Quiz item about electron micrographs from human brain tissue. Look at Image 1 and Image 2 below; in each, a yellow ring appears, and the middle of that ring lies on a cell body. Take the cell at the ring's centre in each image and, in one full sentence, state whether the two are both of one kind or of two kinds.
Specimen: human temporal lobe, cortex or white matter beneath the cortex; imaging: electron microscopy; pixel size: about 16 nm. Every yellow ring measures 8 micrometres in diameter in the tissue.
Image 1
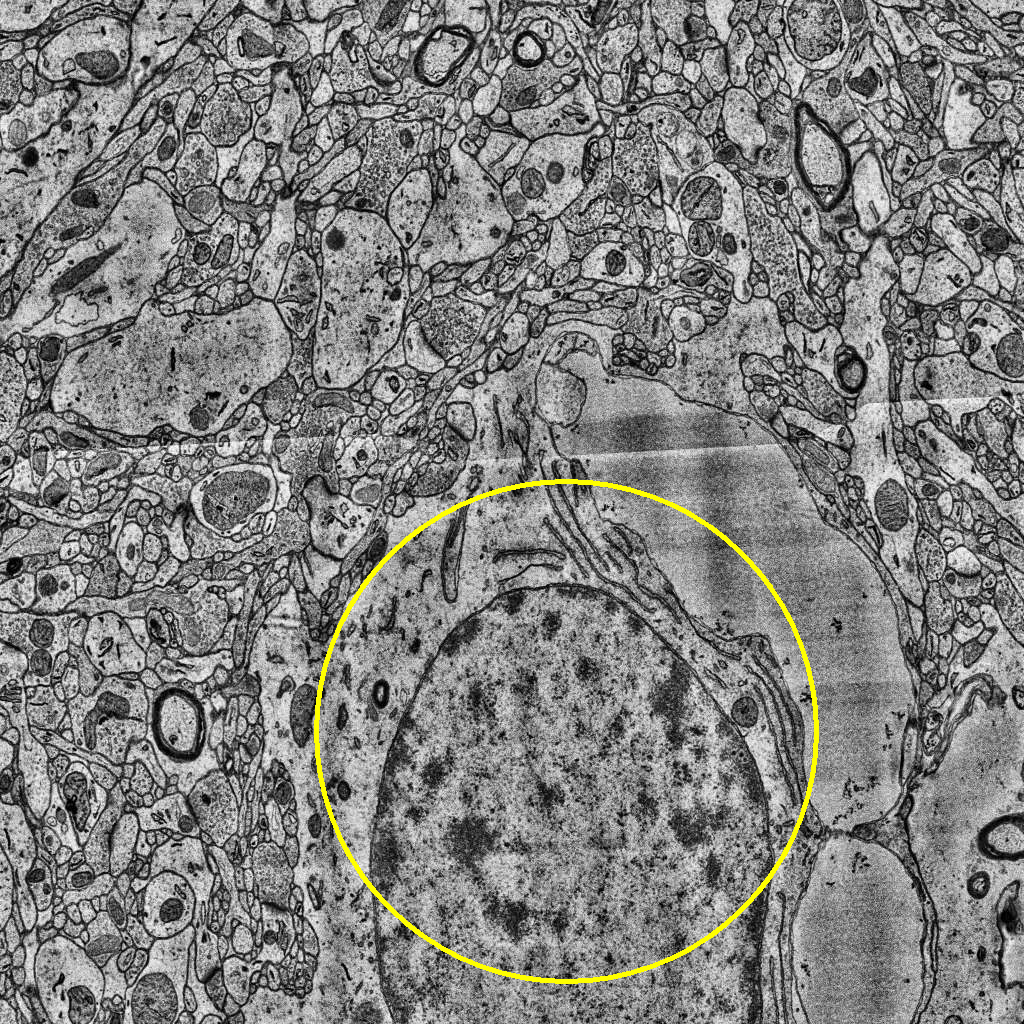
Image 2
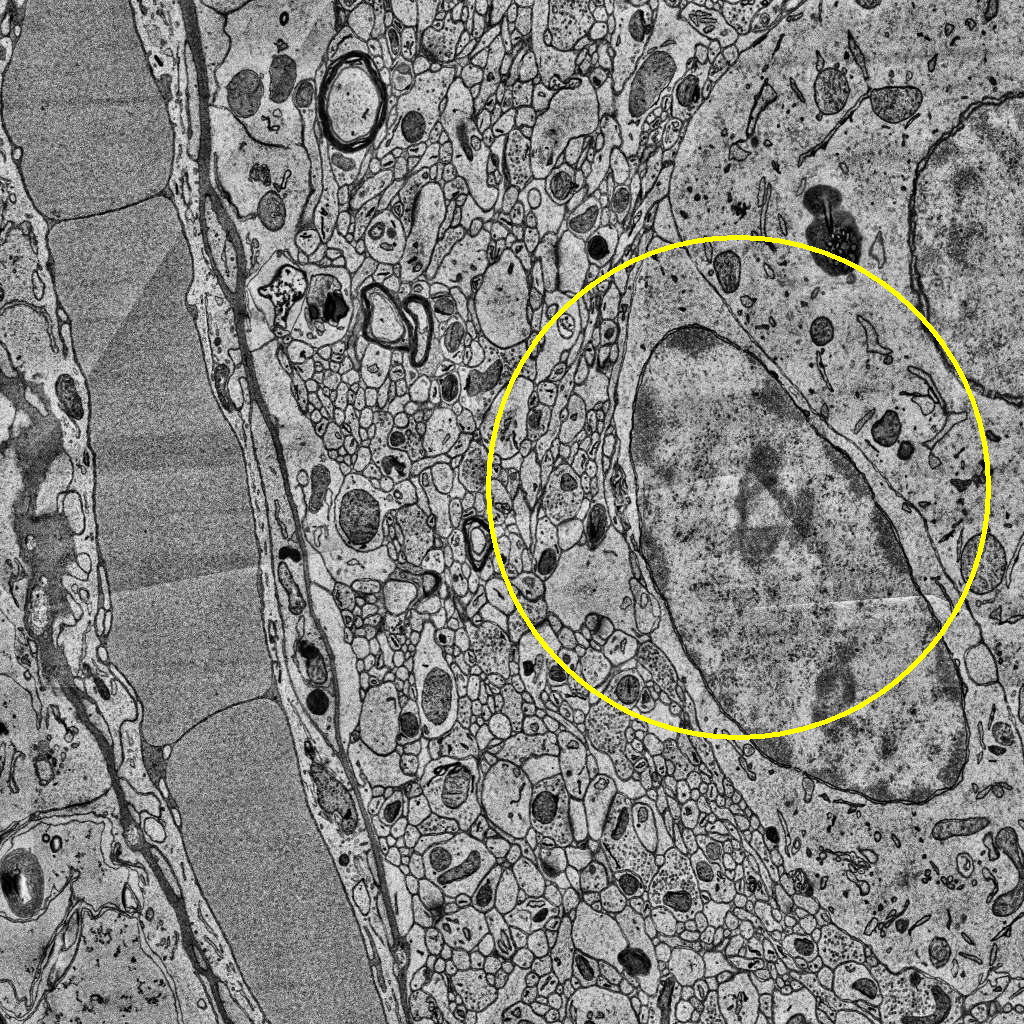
In Image 1 and Image 2, the cells at the ring centres are of two kinds.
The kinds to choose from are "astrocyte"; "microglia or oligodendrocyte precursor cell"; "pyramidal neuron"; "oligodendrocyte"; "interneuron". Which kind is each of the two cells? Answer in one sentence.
The cell marked in the first picture is an astrocyte, and the one marked in the second is a microglial cell or oligodendrocyte precursor cell.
